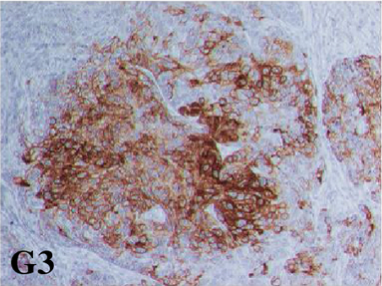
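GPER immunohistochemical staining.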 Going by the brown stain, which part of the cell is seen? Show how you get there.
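Brown stain outlines the borders of individual cells in a honeycomb pattern. Nuclei inside the outlines remain blue. So: cell membranes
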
